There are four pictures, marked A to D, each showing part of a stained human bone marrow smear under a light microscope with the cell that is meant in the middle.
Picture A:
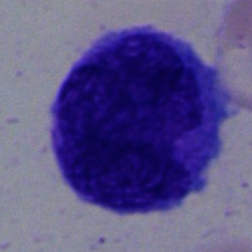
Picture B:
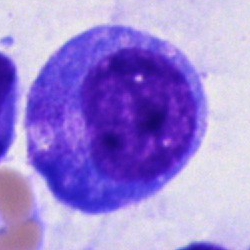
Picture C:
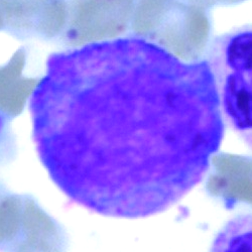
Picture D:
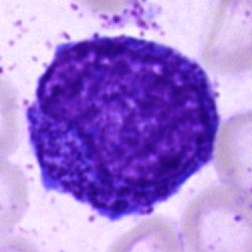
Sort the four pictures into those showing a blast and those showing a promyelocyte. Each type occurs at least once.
A: blast
B: promyelocyte
C: promyelocyte
D: promyelocyte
